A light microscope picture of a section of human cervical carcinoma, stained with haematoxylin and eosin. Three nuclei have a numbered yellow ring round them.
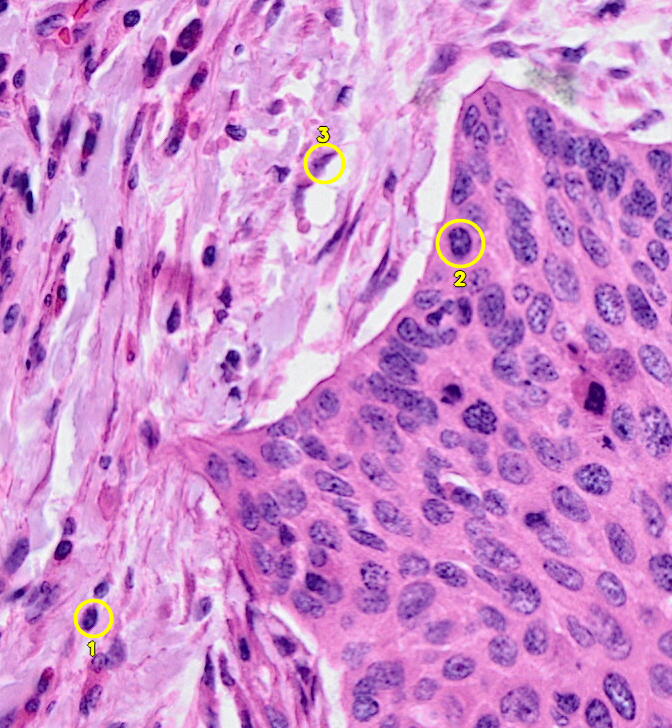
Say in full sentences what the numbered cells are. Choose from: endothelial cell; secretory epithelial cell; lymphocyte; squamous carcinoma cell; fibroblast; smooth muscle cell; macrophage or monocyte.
Cell 1 is a lymphocyte, cell 2 is a squamous carcinoma cell and cell 3 is a fibroblast.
